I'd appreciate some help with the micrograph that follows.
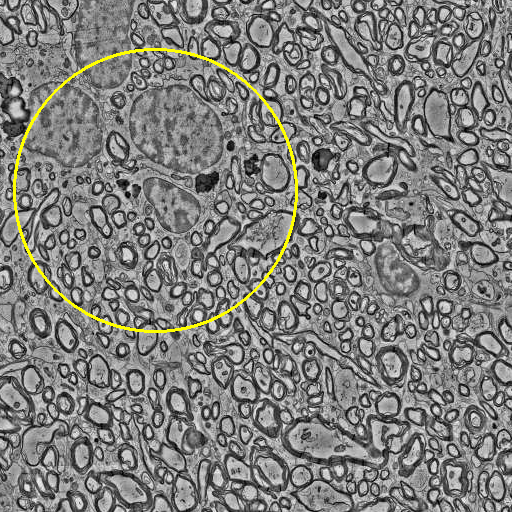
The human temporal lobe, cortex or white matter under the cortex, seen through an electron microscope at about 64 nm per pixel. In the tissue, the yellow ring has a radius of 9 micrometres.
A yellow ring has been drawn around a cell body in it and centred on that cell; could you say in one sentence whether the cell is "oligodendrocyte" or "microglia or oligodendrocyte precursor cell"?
It is a microglial cell or oligodendrocyte precursor cell at the centre of the ring.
